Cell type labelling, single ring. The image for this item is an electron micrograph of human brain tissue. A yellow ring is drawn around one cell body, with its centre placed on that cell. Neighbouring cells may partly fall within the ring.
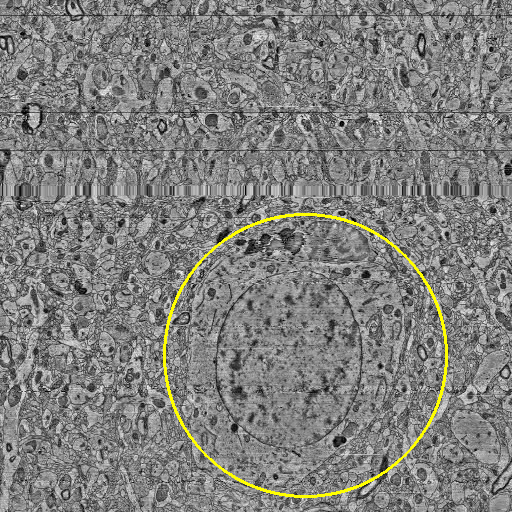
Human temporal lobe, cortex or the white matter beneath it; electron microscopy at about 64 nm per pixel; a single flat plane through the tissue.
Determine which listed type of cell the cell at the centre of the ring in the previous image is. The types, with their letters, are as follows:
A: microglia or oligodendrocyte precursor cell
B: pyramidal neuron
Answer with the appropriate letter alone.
B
